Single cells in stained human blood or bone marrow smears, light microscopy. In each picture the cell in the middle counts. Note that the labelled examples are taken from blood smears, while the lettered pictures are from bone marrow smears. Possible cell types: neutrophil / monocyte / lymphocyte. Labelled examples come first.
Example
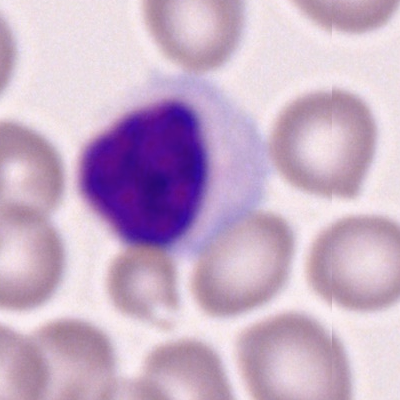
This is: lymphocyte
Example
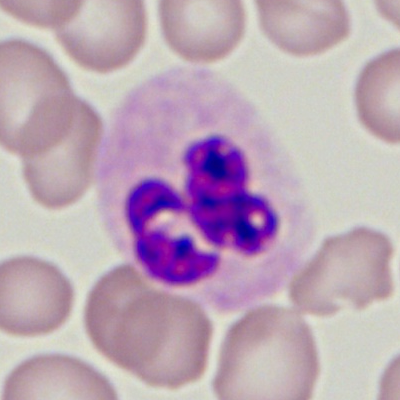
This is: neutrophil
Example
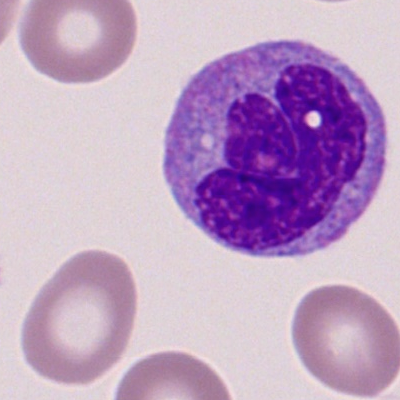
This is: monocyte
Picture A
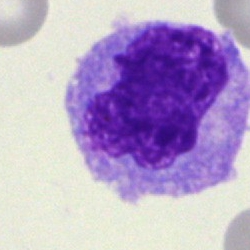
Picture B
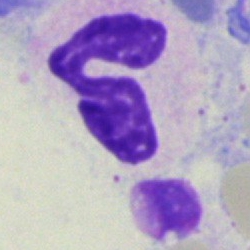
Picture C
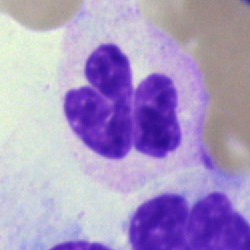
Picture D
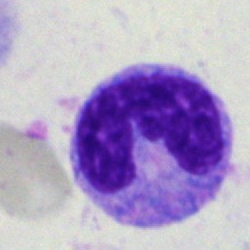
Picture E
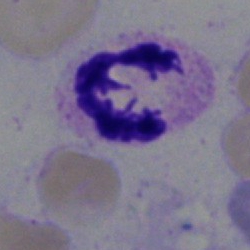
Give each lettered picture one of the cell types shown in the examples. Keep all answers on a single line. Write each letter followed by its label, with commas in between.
A monocyte, B neutrophil, C neutrophil, D monocyte, E neutrophil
